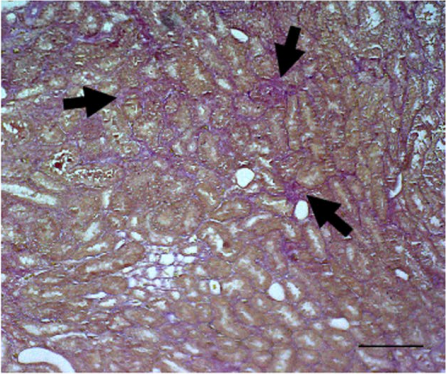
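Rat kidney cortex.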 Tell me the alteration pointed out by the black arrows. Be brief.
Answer: Fibrosis lesions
